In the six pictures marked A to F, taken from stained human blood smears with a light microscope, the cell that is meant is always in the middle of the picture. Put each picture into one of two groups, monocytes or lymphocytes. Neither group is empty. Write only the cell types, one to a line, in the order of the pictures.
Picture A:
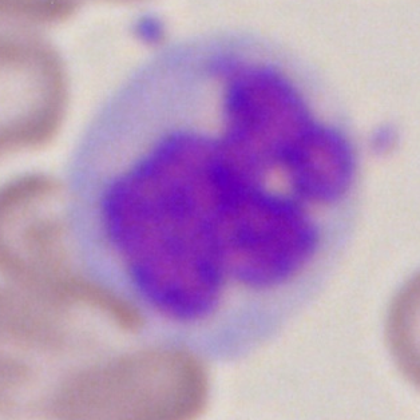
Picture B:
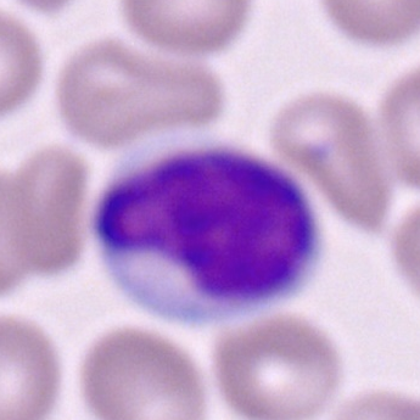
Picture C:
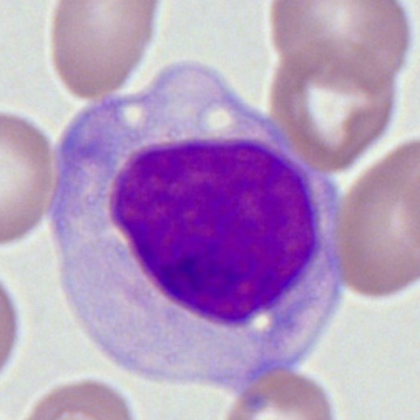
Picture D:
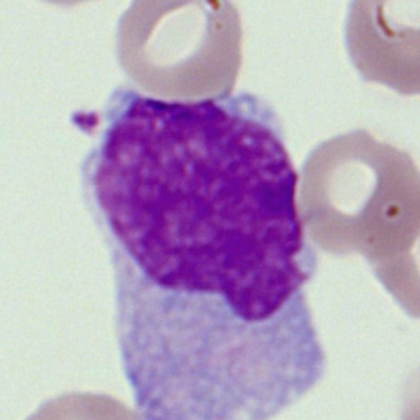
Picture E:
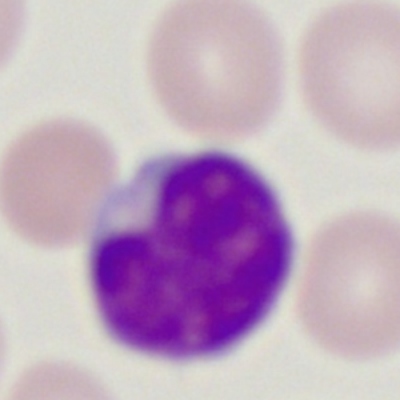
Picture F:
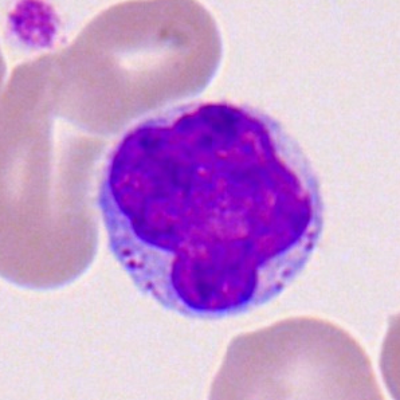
monocyte
lymphocyte
monocyte
monocyte
lymphocyte
lymphocyte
